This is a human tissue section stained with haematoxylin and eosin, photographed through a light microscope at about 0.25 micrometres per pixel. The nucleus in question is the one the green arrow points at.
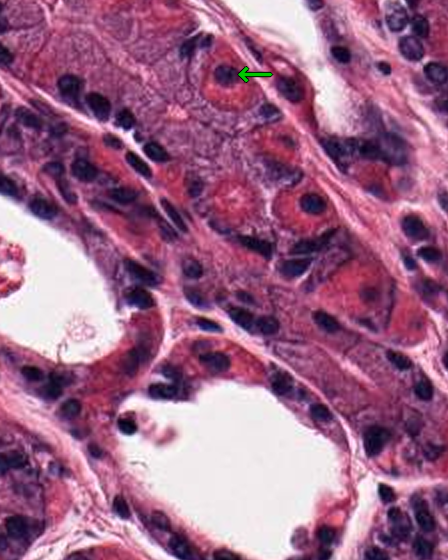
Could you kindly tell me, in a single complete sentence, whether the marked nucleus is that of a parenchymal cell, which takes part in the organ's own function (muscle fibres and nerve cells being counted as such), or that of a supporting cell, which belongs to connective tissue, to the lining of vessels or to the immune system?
The parenchymal cell to which the marked nucleus belongs is a parietal cell.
